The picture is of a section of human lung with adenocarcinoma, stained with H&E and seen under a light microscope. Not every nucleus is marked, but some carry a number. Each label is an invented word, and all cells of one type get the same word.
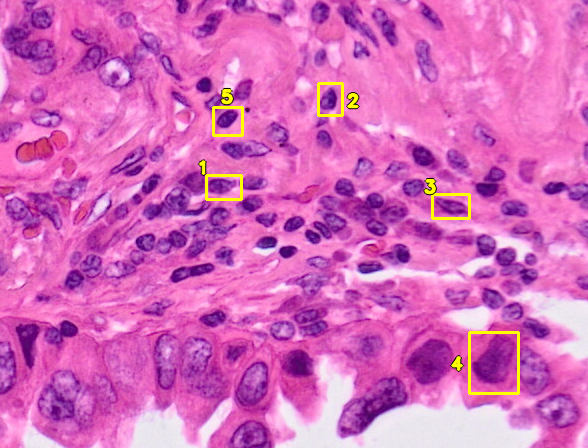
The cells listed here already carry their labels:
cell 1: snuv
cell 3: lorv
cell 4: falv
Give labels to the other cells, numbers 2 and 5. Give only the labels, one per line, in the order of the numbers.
snuv
snuv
